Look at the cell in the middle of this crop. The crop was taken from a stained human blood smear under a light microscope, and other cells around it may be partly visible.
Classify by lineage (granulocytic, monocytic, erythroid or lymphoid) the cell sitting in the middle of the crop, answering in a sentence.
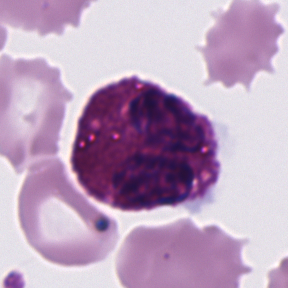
The centered cell is one of the granulocytic lineage.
